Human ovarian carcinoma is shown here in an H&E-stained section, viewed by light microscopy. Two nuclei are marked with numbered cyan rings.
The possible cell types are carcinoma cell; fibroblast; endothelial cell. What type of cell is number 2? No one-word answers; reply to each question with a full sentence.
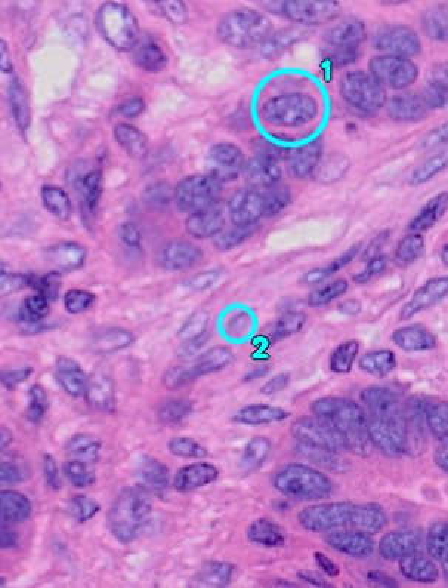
In this section, the cell tagged 2 is a fibroblast.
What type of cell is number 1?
Recognised here as a carcinoma cell is the cell numbered 1.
